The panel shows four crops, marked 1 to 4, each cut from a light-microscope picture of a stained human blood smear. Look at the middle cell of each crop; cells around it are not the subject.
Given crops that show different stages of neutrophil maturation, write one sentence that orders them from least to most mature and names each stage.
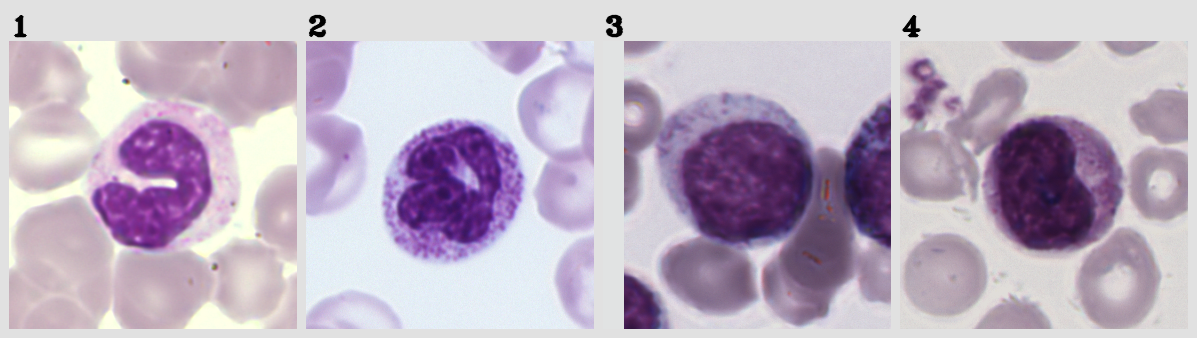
In ascending maturational order, the crops are crop 3 (a myelocyte), crop 4 (a metamyelocyte), crop 1 (a band neutrophil) and crop 2 (a segmented neutrophil).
